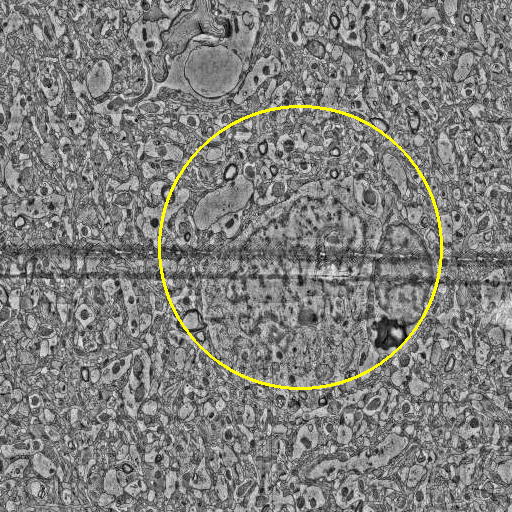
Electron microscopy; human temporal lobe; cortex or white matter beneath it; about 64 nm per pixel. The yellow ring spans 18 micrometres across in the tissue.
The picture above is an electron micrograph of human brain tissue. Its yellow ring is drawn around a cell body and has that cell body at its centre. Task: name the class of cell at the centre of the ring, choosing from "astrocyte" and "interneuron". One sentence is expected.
The ring surrounds the body of an interneuron.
